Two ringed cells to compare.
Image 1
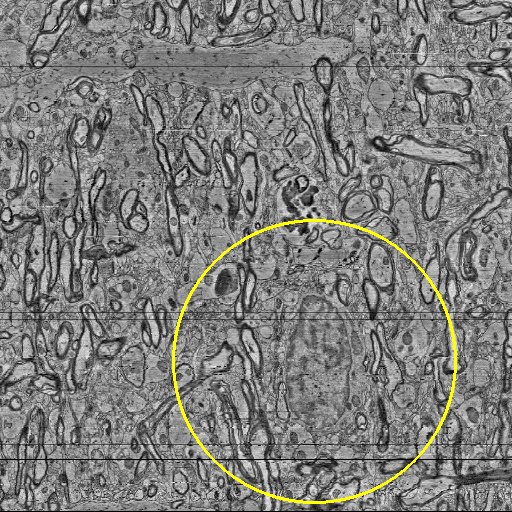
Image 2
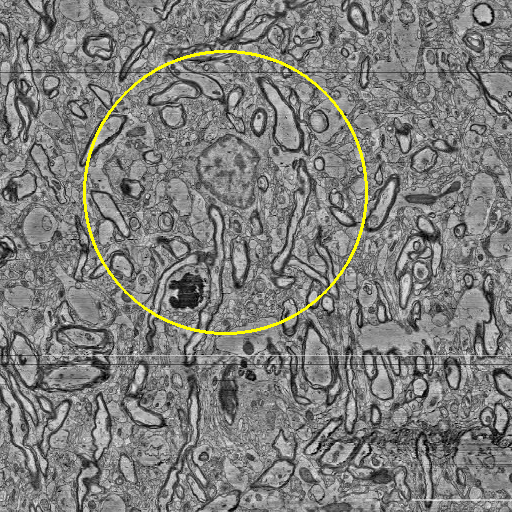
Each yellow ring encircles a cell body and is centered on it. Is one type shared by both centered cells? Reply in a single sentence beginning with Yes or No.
Yes, a single type is shared by the two cells at the centers of the rings.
